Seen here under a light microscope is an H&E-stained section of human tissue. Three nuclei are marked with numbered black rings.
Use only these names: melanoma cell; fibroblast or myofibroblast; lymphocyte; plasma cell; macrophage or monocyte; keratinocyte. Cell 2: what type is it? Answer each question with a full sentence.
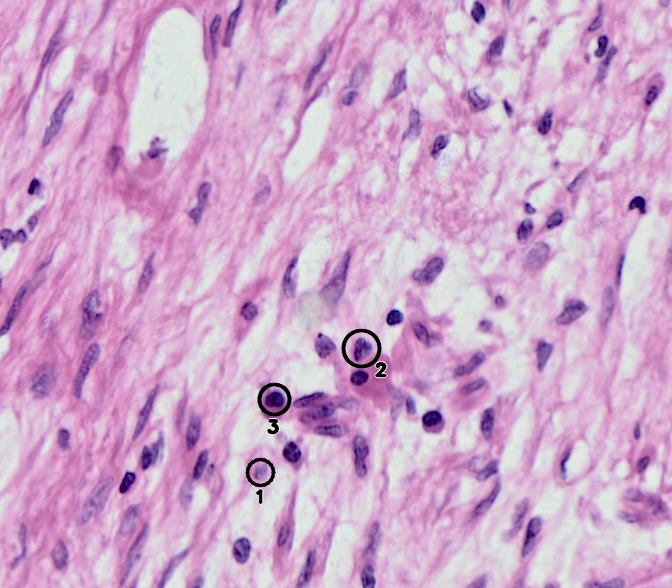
Among the marked cells, number 2 is a lymphocyte.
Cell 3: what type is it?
Identified by the number 3, the cell is a plasma cell.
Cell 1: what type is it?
In this section, the cell numbered 1 is a macrophage or monocyte.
